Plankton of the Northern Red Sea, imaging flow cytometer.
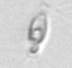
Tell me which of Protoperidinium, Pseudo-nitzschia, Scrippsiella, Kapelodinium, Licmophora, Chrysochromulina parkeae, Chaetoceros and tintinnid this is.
The picture shows Chrysochromulina parkeae.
